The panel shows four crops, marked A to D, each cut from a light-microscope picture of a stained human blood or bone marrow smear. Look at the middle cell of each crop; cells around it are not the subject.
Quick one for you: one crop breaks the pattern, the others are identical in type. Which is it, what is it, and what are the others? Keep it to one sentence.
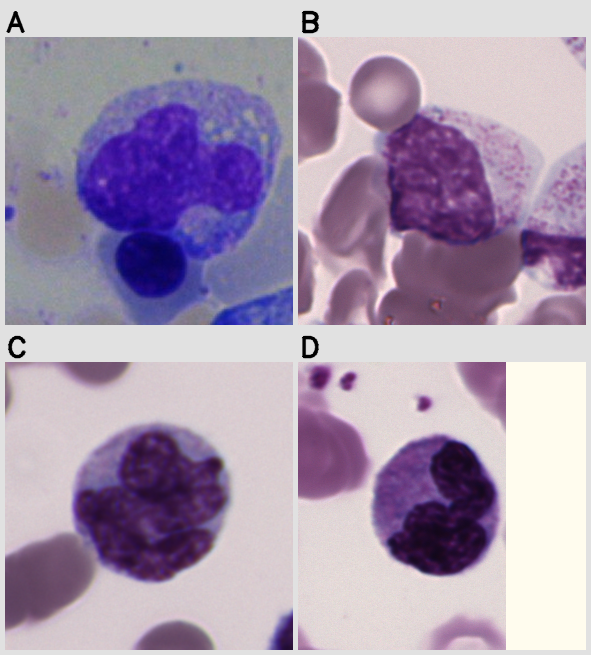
In every crop except crop B, which shows a myelocyte, monocytes are shown.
